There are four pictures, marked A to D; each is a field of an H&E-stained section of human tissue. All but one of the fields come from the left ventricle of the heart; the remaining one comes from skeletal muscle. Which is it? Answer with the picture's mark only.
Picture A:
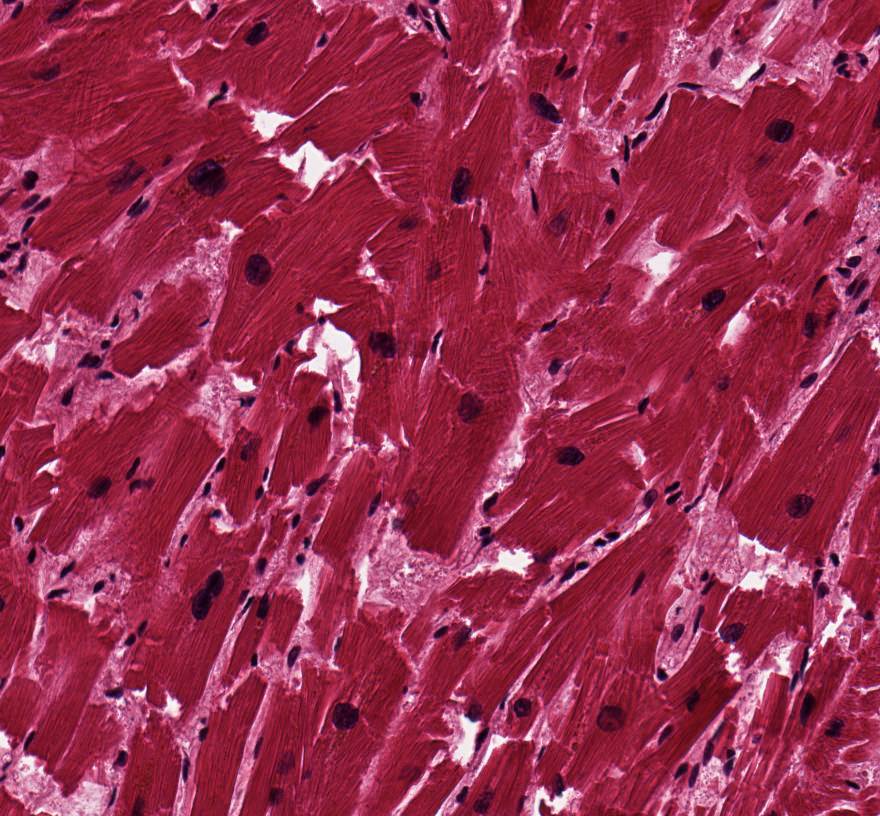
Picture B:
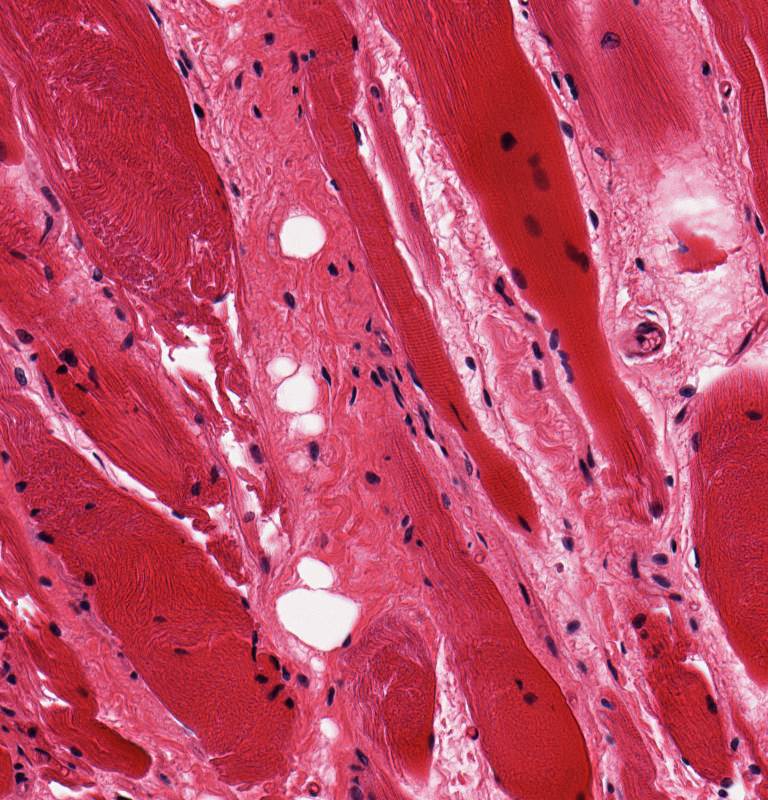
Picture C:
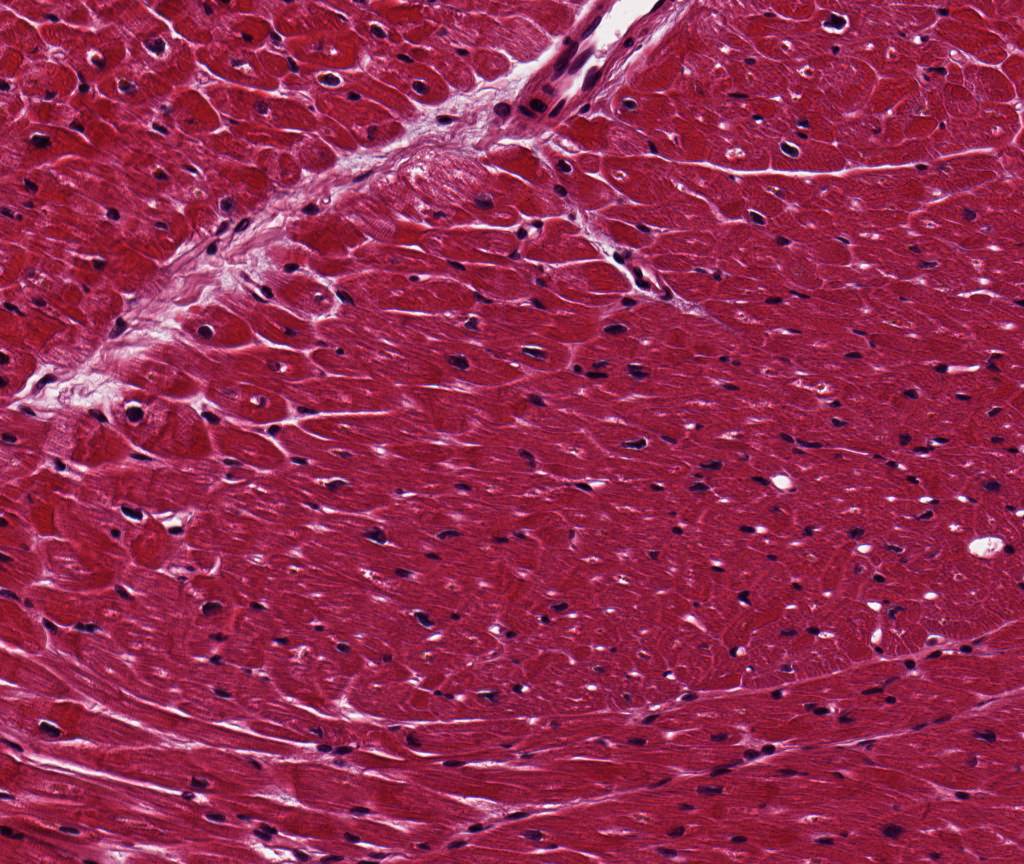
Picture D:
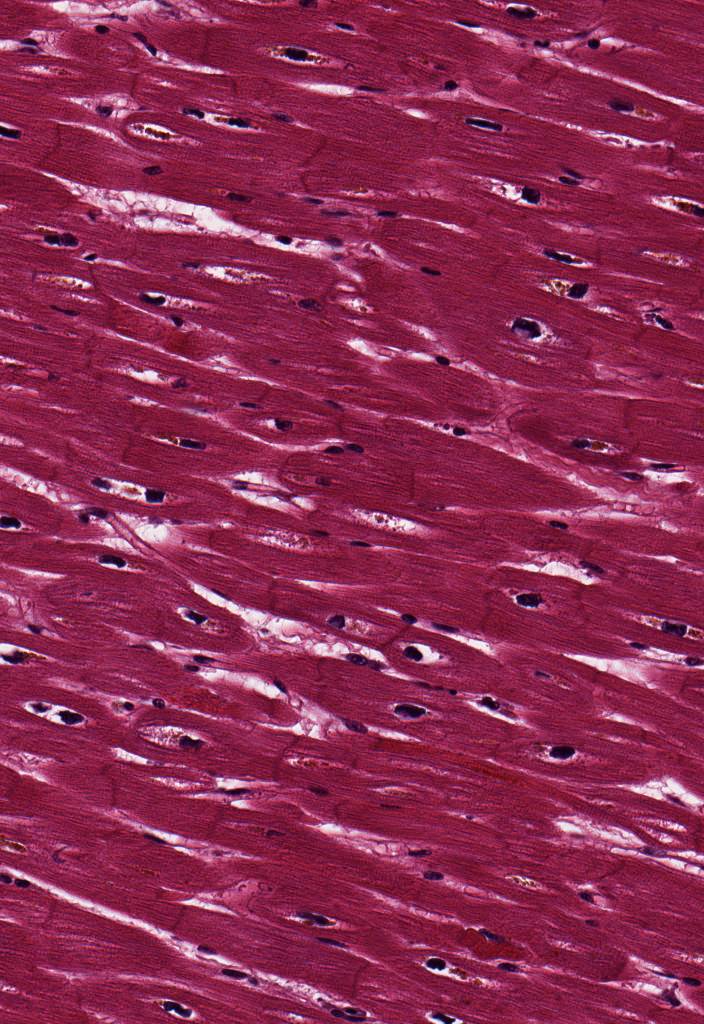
B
